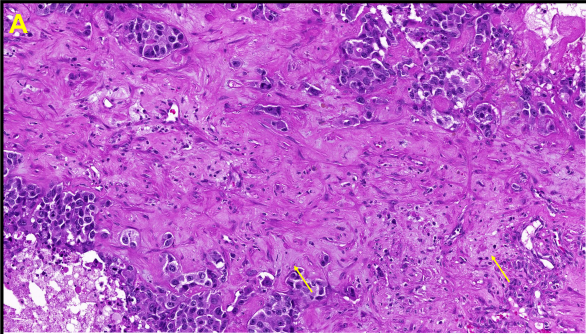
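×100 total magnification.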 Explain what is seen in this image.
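The tumour cells have large round nuclei and moderate cytoplasm, some forming small clusters within the stroma. The stroma contains scattered spindle cells and paler greyish areas.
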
